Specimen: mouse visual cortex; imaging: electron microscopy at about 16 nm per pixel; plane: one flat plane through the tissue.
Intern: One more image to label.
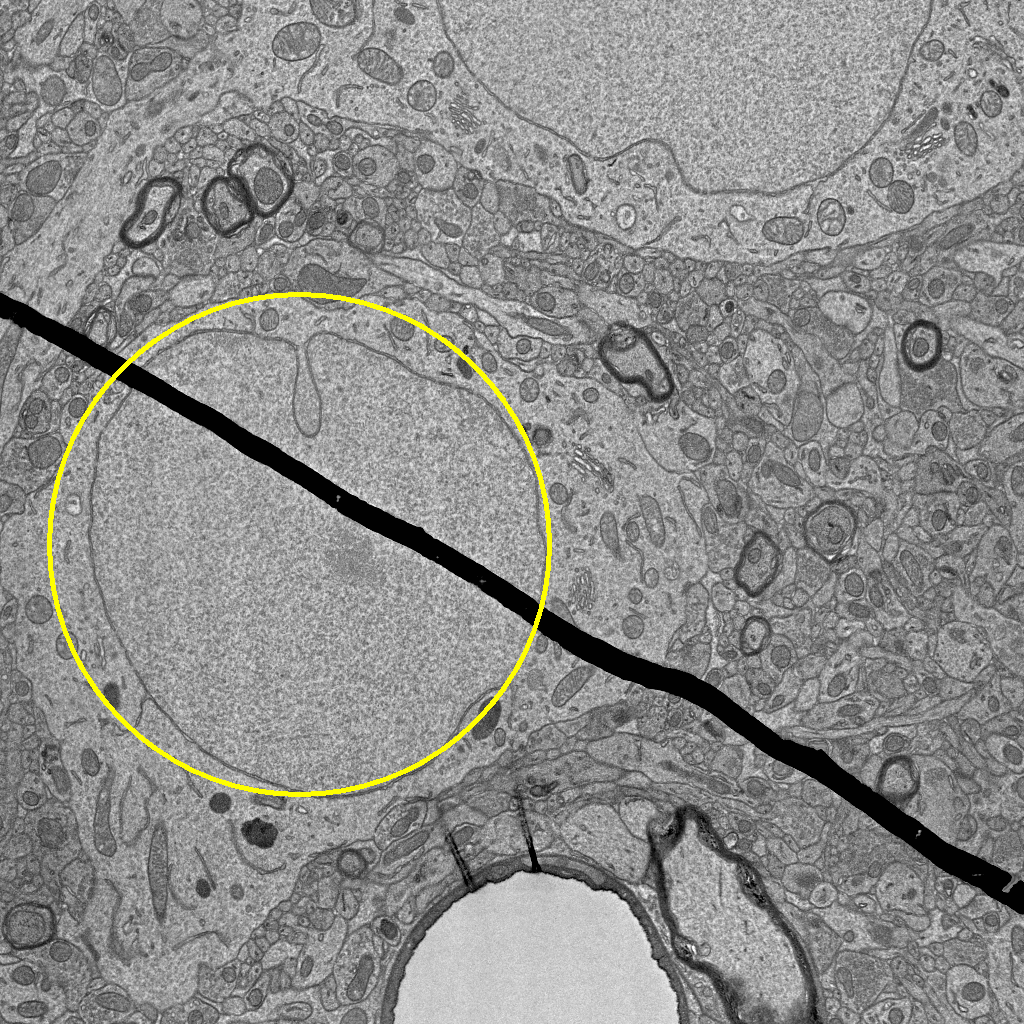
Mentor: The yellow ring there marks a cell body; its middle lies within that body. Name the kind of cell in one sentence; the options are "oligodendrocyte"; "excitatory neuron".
The ring marks the cell body of an excitatory neuron.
